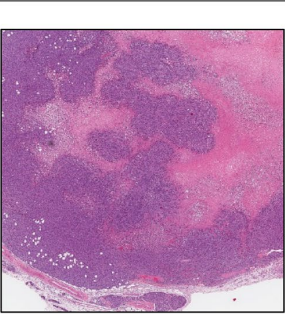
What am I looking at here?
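This is a tumor section in which dense sheets of tumor cells, crowded with purple nuclei, form irregular islands. Between and around these islands lie wide pale pink areas with few nuclei, where the tissue has died. Along the lower edge a thin band of pinker, fibrous tissue bounds the tumor.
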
